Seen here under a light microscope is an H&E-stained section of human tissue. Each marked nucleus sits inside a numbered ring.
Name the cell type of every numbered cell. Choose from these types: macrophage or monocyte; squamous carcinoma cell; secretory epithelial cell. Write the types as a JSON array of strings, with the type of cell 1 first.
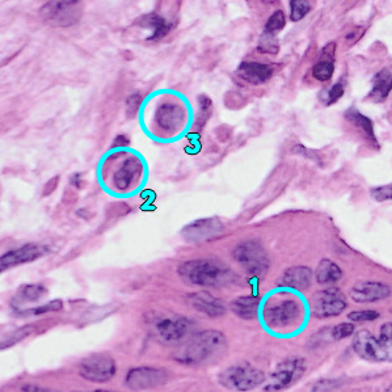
["squamous carcinoma cell", "macrophage or monocyte", "macrophage or monocyte"]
